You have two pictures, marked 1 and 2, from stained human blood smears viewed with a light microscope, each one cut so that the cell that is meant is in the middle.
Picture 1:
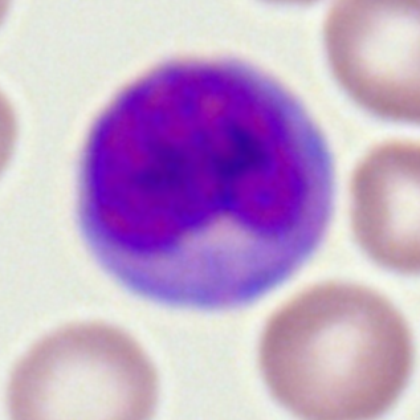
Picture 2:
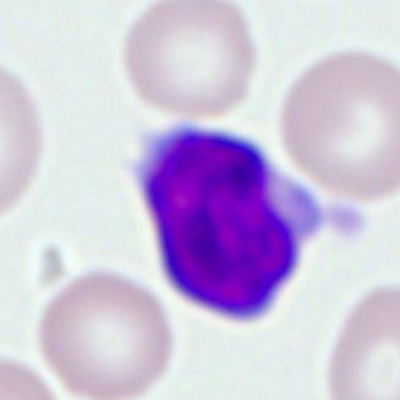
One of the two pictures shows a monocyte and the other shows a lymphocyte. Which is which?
1: monocyte
2: lymphocyte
